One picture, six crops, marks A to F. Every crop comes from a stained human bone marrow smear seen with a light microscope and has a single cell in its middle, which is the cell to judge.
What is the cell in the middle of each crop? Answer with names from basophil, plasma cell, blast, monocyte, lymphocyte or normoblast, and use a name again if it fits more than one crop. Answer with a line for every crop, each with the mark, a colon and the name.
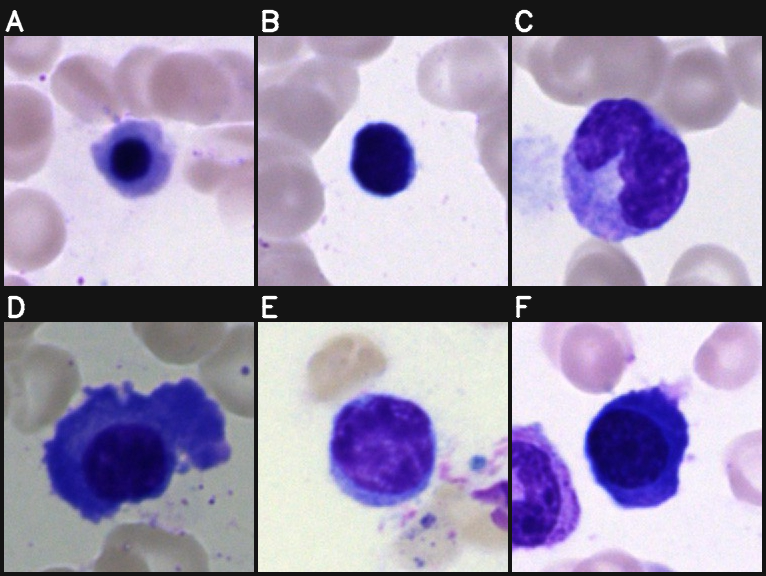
A: normoblast
B: lymphocyte
C: monocyte
D: plasma cell
E: lymphocyte
F: plasma cell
